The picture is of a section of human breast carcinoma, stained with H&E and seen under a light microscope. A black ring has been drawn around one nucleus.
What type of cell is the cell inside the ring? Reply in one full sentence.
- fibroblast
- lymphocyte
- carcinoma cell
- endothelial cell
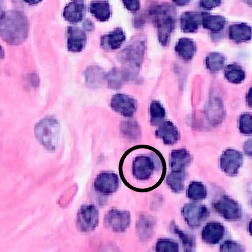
In this field of tissue, the cell inside the ring is a lymphocyte.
